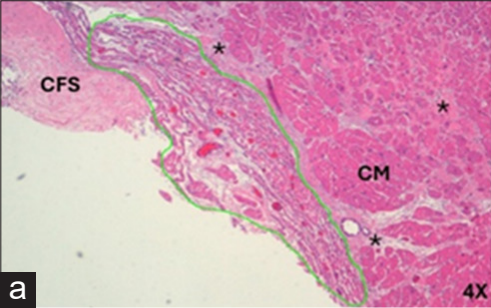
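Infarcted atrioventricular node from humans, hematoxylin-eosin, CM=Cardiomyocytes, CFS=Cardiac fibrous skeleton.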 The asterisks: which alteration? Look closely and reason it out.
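These strands break up the muscle into smaller groups.
Fibrosis zone.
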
